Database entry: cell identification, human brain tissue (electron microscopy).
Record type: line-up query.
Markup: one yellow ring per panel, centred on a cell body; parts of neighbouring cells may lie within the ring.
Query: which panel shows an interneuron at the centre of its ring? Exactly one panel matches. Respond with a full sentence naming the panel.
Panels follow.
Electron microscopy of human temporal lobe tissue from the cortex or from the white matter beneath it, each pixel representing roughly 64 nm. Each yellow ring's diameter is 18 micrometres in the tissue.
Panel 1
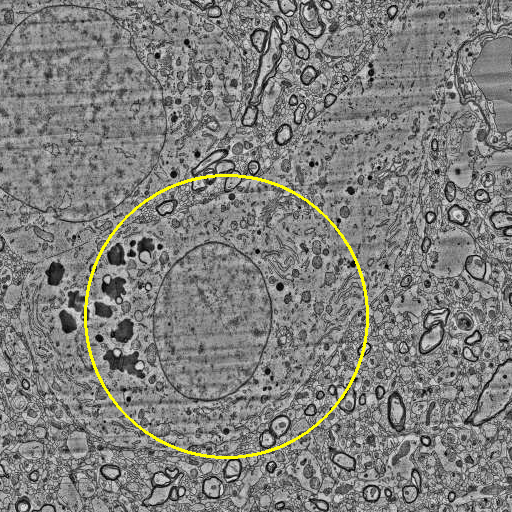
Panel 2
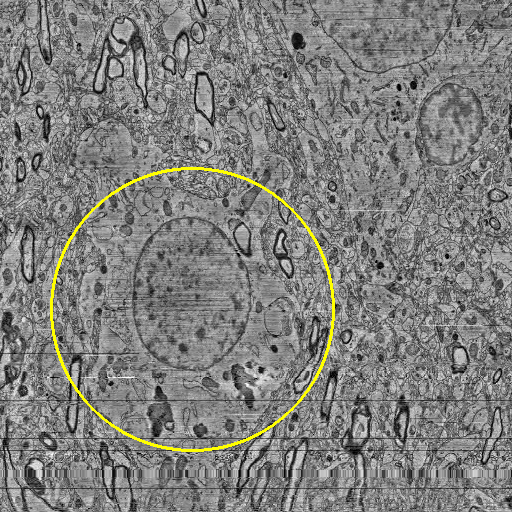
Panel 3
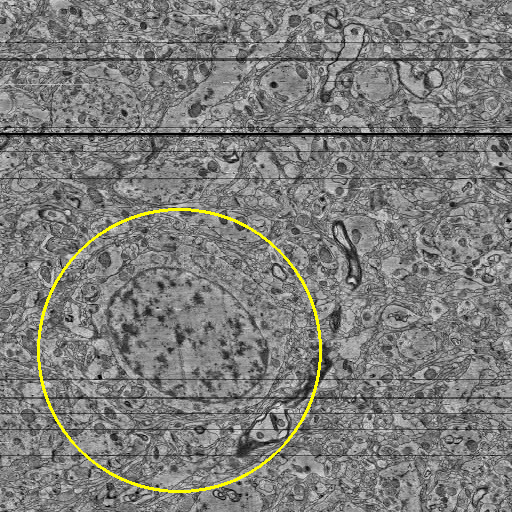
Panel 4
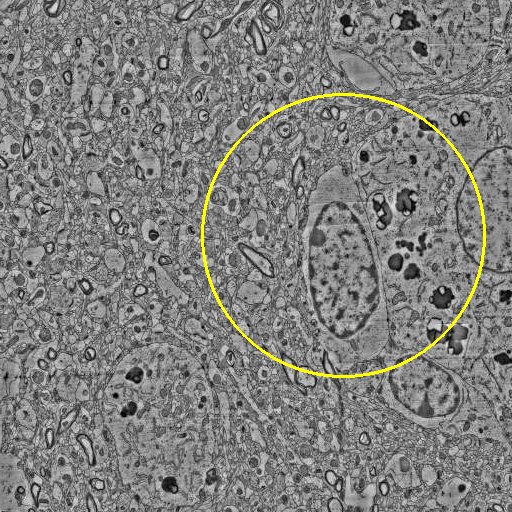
Panel 3 shows it at the centre of the ring.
